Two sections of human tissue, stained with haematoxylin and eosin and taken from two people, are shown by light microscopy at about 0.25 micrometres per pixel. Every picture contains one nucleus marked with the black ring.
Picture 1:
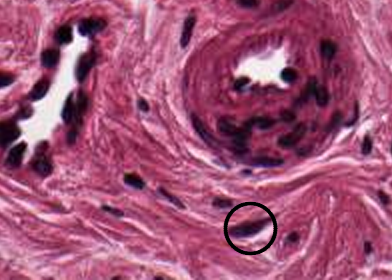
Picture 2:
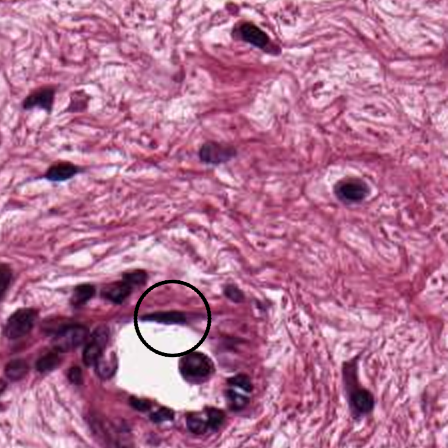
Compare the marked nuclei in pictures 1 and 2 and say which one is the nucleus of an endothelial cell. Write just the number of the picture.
2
